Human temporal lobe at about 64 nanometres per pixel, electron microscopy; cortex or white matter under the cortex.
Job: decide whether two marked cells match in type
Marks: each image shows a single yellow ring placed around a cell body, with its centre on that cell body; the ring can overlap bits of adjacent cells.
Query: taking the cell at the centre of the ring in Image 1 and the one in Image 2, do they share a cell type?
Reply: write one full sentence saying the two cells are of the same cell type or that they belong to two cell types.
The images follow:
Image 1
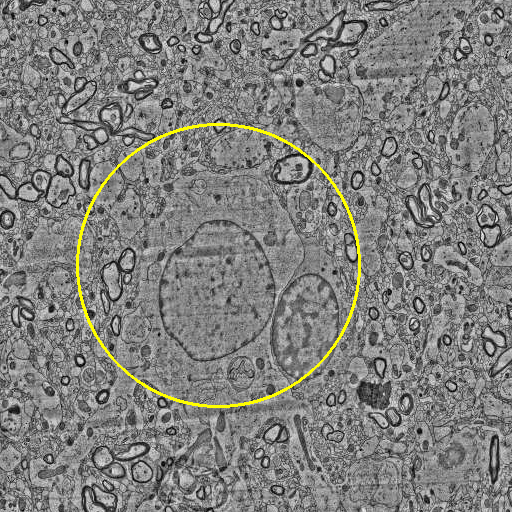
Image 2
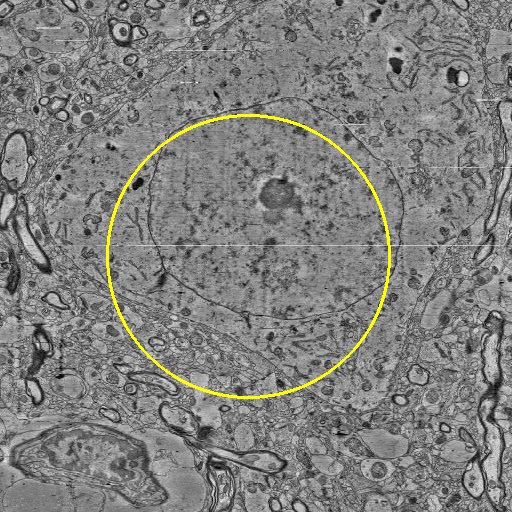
The cells at the ring centres in Image 1 and Image 2 belong to two cell types.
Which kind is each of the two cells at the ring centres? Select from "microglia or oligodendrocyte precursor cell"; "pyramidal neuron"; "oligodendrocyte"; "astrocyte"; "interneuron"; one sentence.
The cell at the centre of the ring is an astrocyte in the first picture and a pyramidal neuron in the second.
